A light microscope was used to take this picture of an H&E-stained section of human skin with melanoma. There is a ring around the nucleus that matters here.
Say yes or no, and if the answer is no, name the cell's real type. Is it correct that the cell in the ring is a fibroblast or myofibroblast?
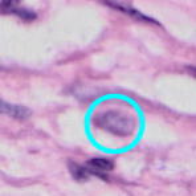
Yes.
